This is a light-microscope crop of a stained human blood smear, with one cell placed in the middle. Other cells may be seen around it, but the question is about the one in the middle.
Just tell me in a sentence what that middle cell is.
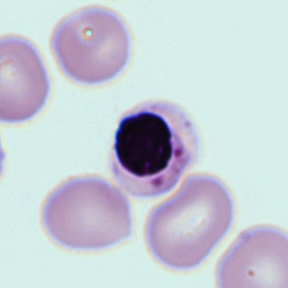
This crop has a normoblast at its centre.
